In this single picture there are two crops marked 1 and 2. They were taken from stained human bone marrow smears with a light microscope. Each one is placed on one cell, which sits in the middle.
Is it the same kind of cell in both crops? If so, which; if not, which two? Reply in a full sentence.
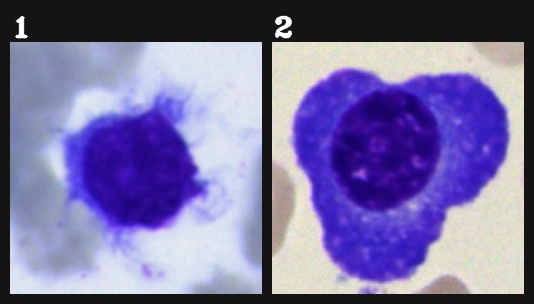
No, as for crop 1, it shows a hairy cell, and crop 2 shows a plasma cell.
